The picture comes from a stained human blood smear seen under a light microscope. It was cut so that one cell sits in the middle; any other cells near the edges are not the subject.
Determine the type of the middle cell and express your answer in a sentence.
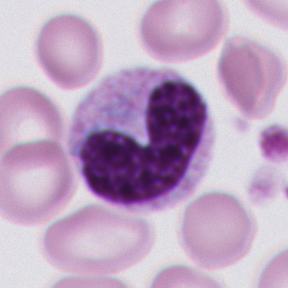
Seen at the centre of the crop is a band neutrophil.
